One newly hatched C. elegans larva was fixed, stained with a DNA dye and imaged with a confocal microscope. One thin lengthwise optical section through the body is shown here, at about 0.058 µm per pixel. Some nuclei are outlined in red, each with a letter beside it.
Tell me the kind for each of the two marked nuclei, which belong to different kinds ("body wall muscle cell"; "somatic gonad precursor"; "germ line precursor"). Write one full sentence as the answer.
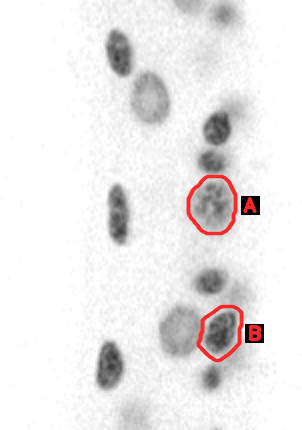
A is the nucleus of a germ line precursor; B is the nucleus of a body wall muscle cell.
